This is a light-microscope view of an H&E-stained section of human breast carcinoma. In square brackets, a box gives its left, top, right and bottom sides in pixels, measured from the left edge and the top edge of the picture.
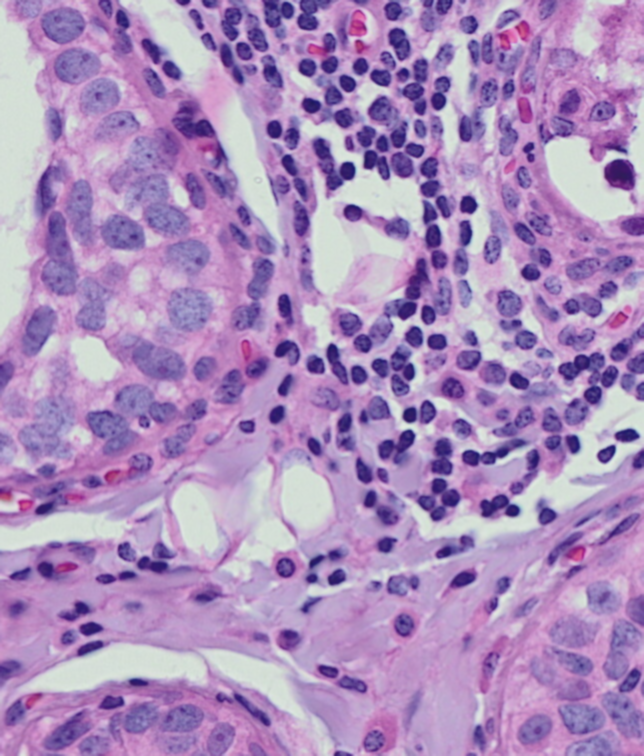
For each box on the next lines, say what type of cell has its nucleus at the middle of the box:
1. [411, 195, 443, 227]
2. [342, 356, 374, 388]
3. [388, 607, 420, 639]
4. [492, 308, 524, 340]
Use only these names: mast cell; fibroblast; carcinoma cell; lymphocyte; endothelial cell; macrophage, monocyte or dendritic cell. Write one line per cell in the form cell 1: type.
cell 1: lymphocyte
cell 2: lymphocyte
cell 3: mast cell
cell 4: lymphocyte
